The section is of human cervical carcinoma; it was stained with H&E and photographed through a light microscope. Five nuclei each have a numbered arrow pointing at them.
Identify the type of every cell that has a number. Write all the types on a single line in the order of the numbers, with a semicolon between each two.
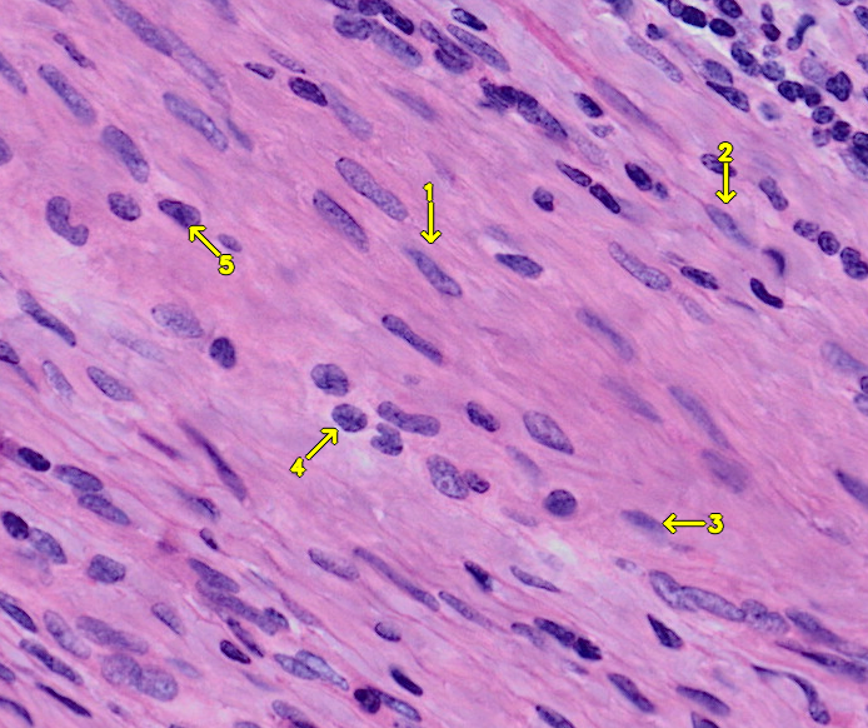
fibroblast; fibroblast; fibroblast; lymphocyte; lymphocyte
